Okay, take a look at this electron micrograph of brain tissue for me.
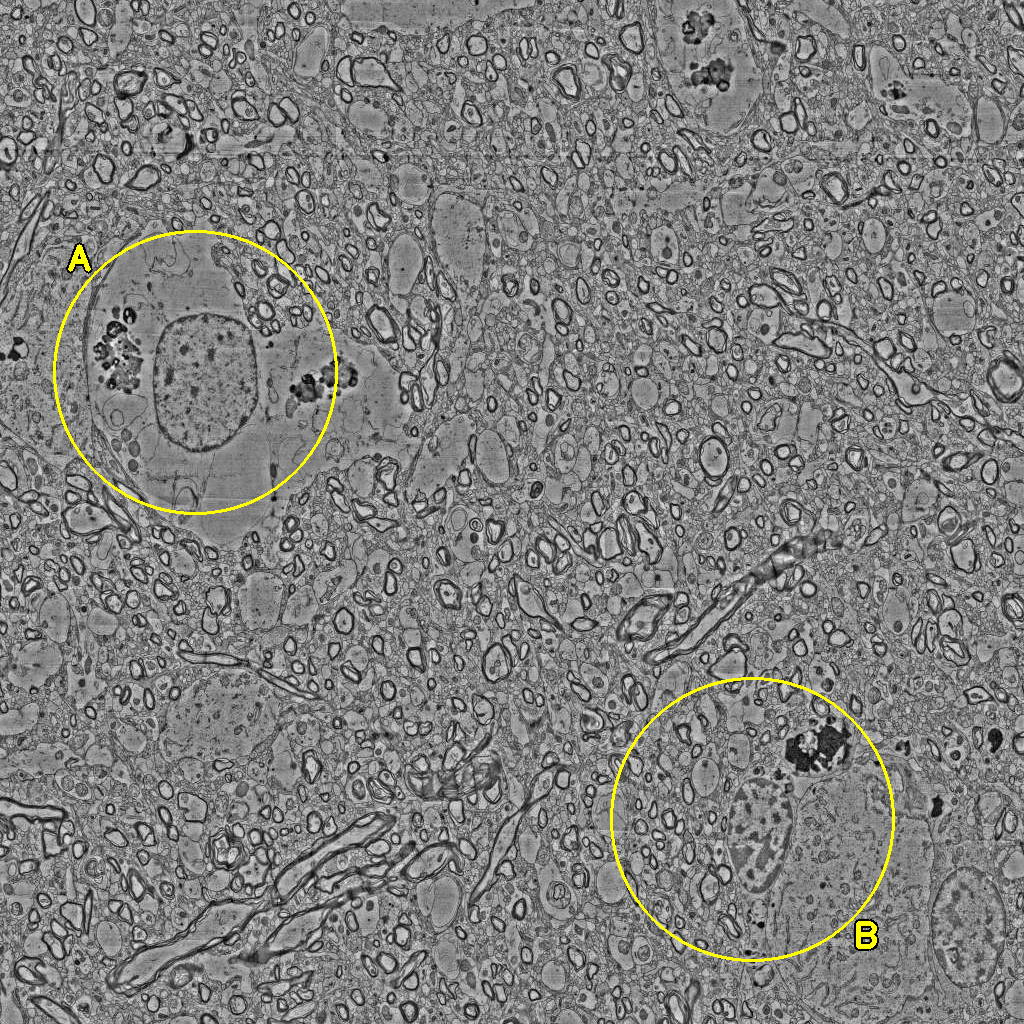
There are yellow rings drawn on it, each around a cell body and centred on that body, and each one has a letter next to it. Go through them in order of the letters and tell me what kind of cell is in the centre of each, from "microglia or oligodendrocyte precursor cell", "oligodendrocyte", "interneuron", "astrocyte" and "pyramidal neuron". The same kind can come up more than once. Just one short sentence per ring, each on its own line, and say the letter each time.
In the centre of ring A there's an astrocyte.
In the centre of ring B there's a microglial cell or oligodendrocyte precursor cell.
